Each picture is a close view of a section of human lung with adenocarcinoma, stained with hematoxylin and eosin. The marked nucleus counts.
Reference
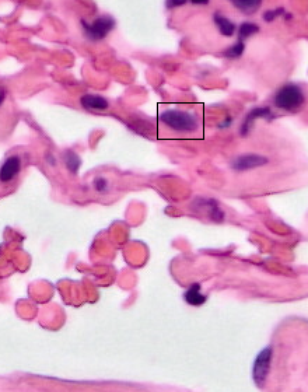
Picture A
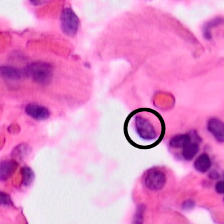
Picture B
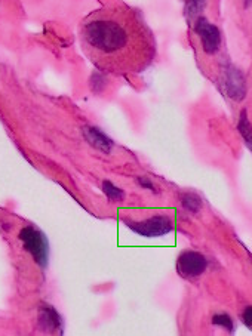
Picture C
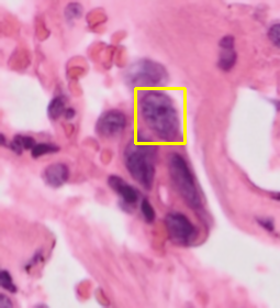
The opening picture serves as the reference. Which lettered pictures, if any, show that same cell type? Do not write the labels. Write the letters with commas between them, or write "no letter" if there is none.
A, B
